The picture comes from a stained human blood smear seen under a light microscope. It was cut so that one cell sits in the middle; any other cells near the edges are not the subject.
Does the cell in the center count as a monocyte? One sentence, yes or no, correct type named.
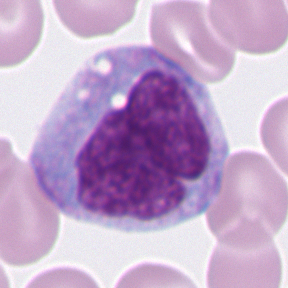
Yes, the cell of interest in the middle is a monocyte.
